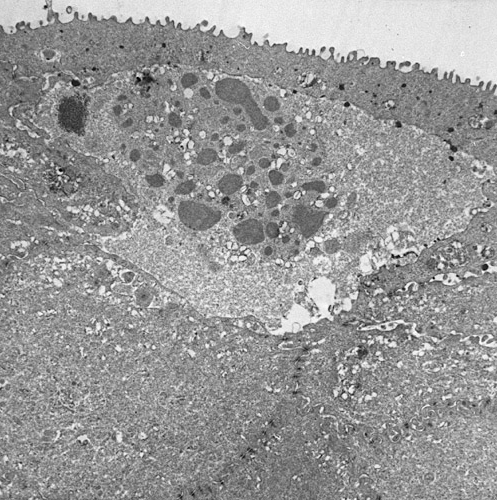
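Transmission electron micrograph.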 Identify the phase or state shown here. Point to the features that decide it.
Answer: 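One cell in the centre has pale, loose-textured cytoplasm, unlike its darker neighbours. Small clear vacuoles are scattered through the cytoplasm of that cell. Its cytoplasm is crowded with dark dense inclusions. The answer: degenerated epithelial cell.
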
